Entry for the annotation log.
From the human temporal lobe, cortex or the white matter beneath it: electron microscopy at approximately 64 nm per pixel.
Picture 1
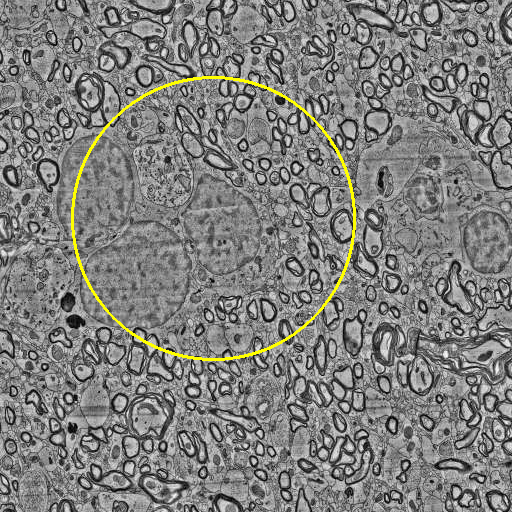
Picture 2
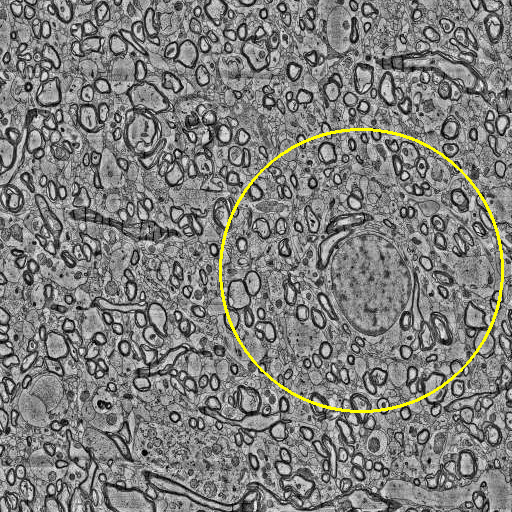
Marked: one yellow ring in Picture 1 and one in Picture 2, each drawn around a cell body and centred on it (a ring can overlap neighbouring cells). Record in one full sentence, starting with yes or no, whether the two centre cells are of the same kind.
No, the two cells are of two kinds.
